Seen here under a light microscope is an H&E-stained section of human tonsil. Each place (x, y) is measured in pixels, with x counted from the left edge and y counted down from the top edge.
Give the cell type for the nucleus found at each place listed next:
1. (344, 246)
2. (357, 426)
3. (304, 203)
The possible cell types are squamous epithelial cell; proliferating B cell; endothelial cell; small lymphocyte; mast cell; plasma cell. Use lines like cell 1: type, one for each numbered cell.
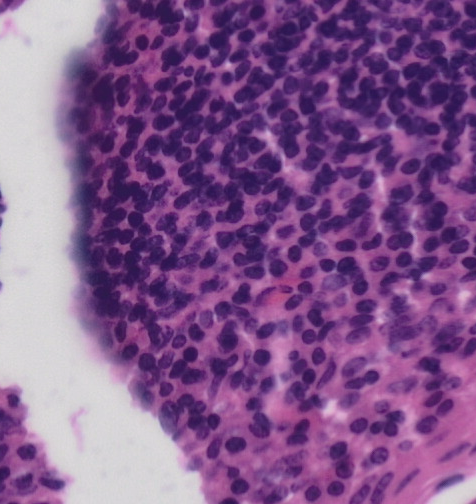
cell 1: plasma cell
cell 2: plasma cell
cell 3: small lymphocyte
